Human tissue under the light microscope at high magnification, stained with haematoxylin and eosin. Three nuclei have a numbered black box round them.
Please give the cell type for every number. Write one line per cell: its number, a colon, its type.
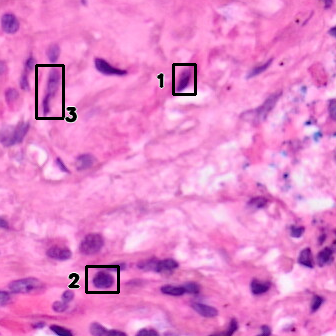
1: smooth muscle cell or pericyte
2: lymphocyte
3: smooth muscle cell or pericyte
